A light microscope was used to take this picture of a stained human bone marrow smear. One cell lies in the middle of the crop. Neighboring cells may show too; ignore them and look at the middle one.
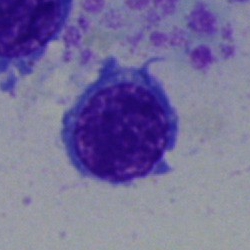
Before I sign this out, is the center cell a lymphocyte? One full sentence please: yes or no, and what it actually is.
No, the middle cell is classified as an erythroblast instead of a lymphocyte.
